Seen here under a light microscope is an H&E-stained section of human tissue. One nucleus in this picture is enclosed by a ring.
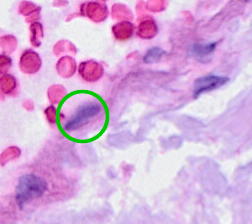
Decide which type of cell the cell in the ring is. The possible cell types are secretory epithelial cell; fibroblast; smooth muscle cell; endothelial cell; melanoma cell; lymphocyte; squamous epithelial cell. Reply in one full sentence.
With respect to cell type, the cell in the ring is an endothelial cell.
